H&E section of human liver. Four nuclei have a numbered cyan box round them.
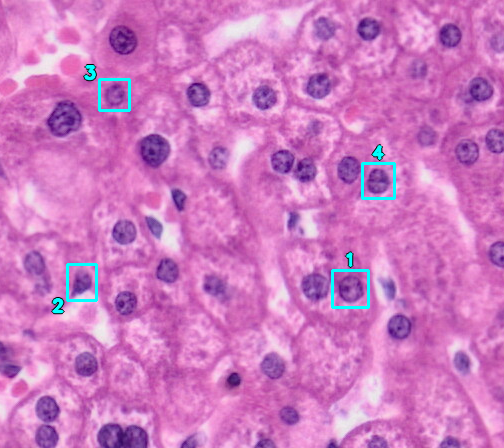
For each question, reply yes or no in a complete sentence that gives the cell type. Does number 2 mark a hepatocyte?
No, cell 2 is an endothelial cell, not a hepatocyte.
